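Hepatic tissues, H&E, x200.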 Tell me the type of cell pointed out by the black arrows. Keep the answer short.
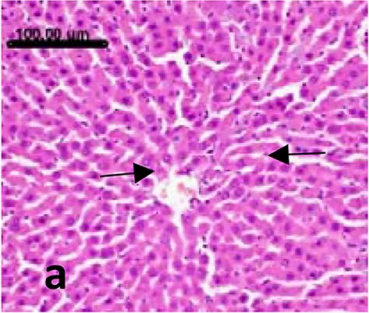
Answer: Hepatocytes.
